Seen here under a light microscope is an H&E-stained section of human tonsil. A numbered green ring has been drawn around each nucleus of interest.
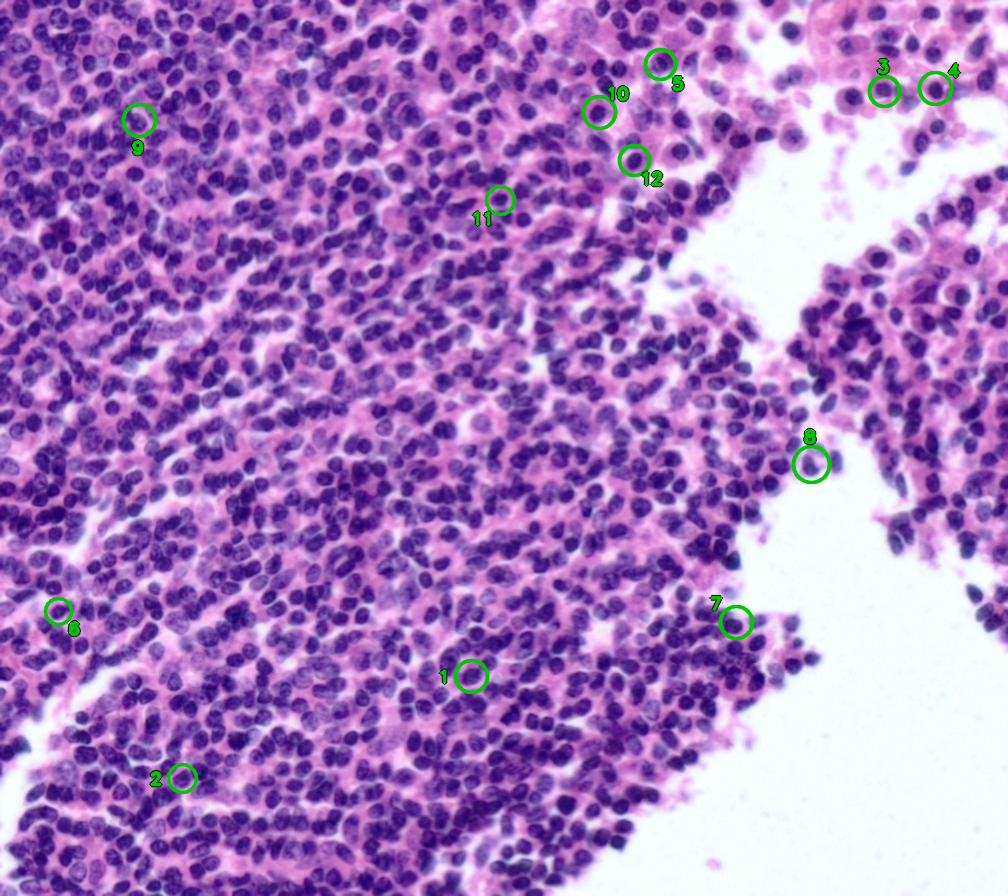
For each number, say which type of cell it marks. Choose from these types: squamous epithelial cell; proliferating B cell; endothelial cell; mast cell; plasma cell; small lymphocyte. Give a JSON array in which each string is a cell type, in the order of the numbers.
["small lymphocyte", "small lymphocyte", "plasma cell", "plasma cell", "plasma cell", "small lymphocyte", "small lymphocyte", "small lymphocyte", "small lymphocyte", "plasma cell", "small lymphocyte", "plasma cell"]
